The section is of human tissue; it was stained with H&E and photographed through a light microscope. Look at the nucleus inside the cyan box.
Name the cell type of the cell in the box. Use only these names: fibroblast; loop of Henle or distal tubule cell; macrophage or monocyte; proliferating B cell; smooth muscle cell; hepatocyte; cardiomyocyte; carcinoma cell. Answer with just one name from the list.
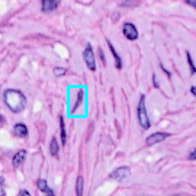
fibroblast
